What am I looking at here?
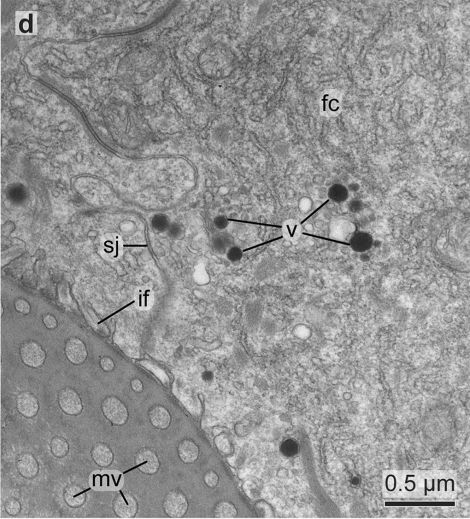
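Two neighbouring follicle cells sit against the edge of a chaeta, whose dense matrix is pierced by many small round canals still holding microvilli of the chaetoblast. The chaeta is fastened to the adjacent follicle cell along its border.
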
